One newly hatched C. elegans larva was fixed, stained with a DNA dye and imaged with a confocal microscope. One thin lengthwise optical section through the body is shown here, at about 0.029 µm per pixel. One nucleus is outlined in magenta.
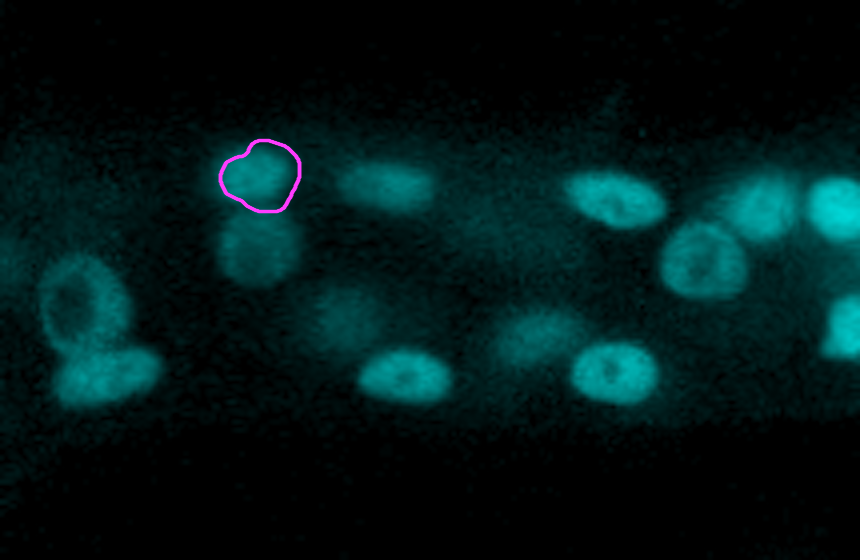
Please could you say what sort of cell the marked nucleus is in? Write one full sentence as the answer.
It is the nucleus of a body wall muscle cell.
